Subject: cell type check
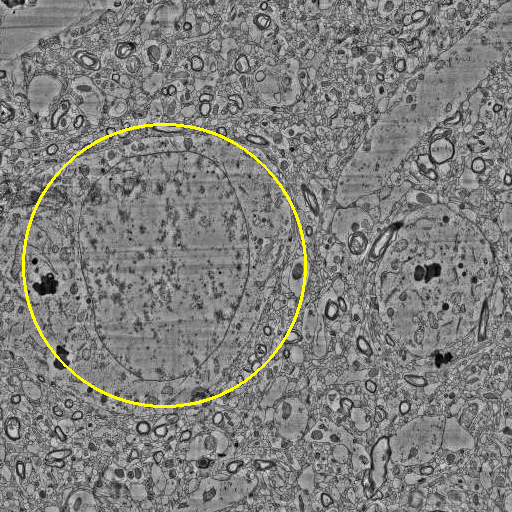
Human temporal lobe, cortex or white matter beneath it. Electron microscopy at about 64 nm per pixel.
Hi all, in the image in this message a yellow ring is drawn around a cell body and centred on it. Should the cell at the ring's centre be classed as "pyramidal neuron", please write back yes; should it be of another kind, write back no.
yes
